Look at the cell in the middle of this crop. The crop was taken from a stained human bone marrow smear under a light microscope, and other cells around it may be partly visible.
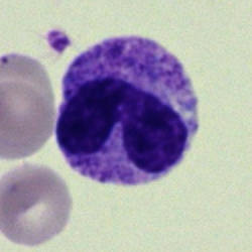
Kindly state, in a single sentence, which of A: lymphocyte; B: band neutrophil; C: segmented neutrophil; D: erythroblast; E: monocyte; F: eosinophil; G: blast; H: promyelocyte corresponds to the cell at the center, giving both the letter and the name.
Option B holds up: the cell in the middle is a band neutrophil.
